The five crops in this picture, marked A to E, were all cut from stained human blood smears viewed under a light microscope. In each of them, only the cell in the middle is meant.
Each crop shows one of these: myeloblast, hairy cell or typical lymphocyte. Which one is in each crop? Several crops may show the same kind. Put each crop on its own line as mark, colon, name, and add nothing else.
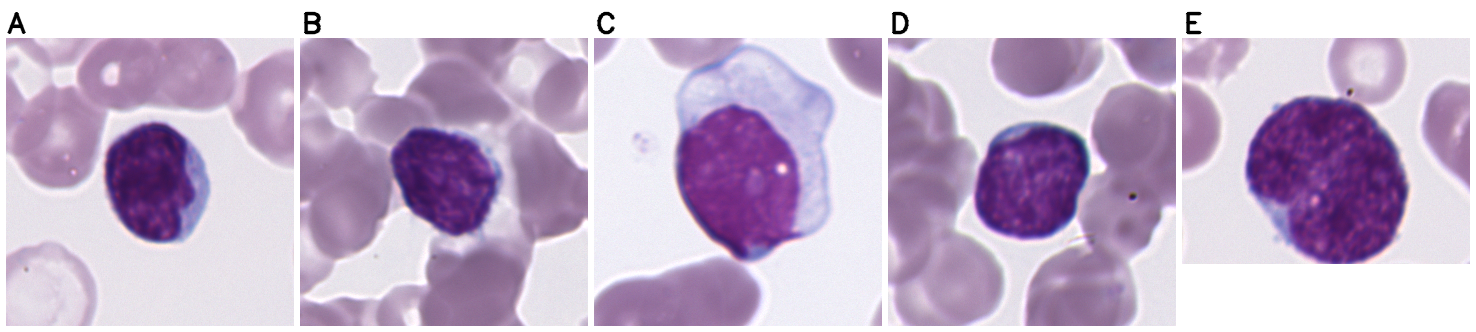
A: typical lymphocyte
B: typical lymphocyte
C: typical lymphocyte
D: typical lymphocyte
E: myeloblast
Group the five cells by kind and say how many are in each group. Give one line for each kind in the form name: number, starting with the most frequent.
typical lymphocyte: 4
myeloblast: 1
